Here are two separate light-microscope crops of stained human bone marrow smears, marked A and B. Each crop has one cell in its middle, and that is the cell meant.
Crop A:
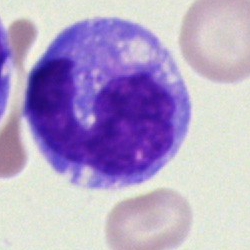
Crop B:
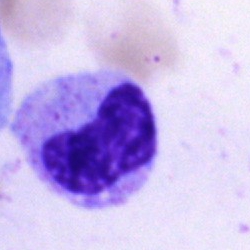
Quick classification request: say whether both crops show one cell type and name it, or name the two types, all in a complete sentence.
No, a monocyte is centred in crop A, and a metamyelocyte is centred in crop B.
